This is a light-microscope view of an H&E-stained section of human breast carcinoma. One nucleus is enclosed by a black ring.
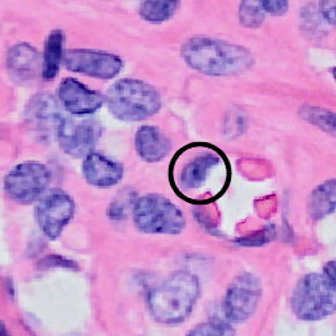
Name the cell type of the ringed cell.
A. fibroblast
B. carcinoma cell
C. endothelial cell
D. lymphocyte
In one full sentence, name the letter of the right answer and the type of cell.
Option C is the right one; the ringed cell is an endothelial cell.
